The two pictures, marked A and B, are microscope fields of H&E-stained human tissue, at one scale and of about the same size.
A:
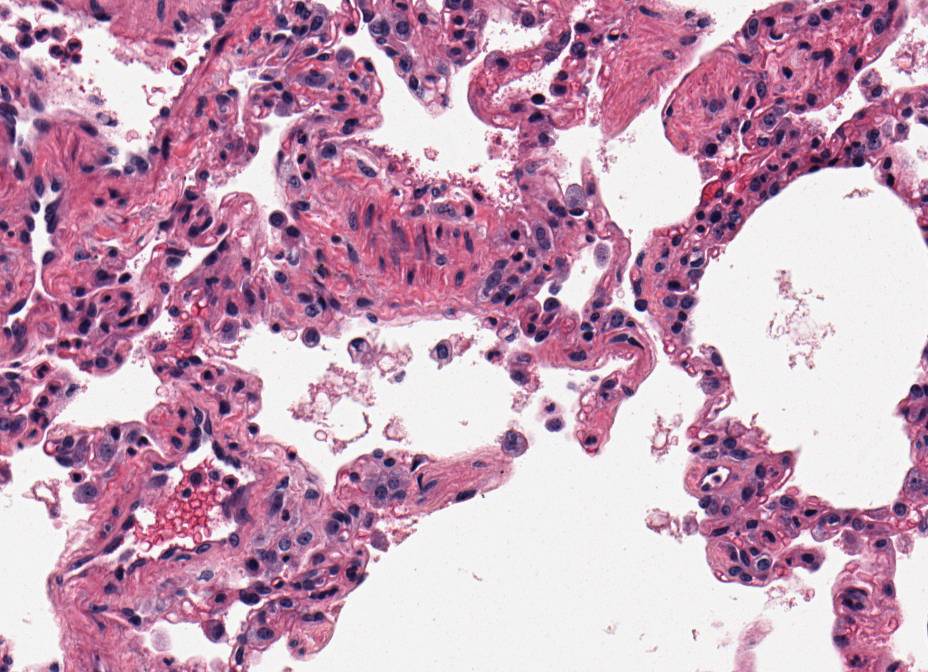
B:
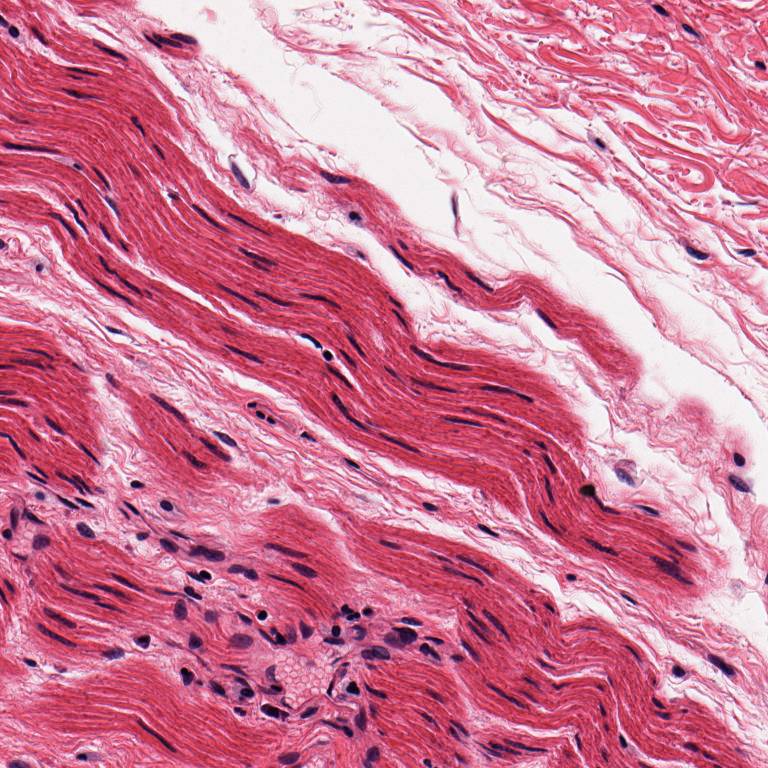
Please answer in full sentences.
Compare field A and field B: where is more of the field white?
Unstained space takes up more of field A than of field B.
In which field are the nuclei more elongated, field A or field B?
It is field B whose nuclei are the more elongated.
